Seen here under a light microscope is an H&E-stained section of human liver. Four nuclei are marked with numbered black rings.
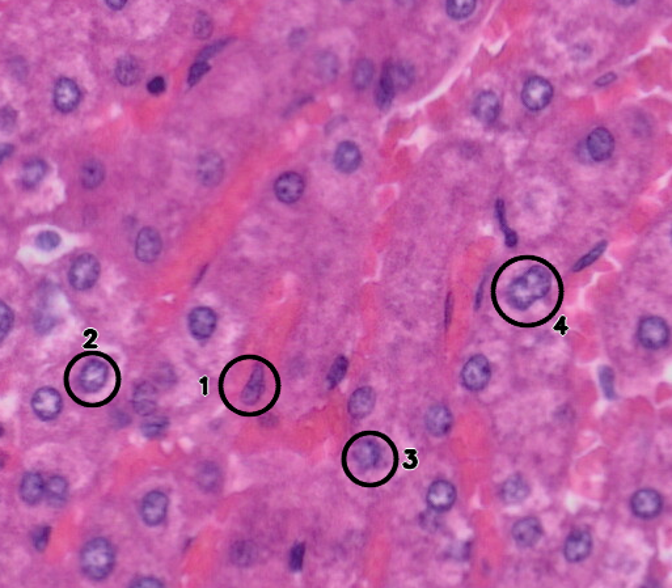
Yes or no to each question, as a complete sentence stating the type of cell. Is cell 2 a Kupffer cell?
No, a Kupffer cell is not what cell 2 is; it is a hepatocyte.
